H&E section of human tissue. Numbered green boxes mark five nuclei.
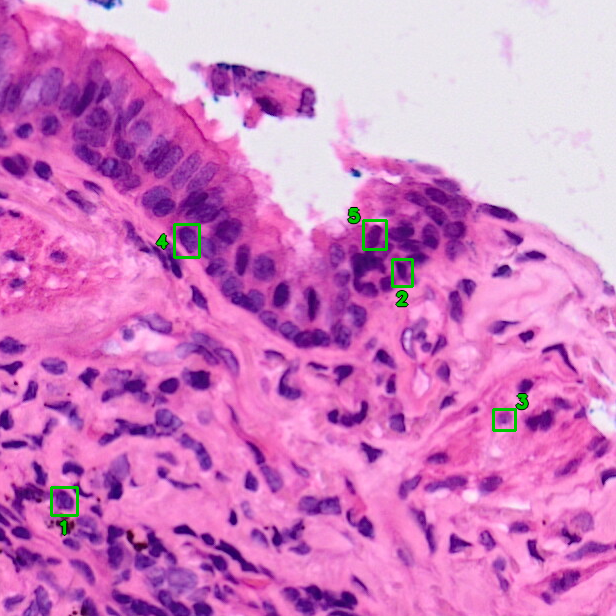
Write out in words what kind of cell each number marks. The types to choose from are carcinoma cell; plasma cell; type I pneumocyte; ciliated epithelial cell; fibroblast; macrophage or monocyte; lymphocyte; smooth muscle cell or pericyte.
Cell 1 is a lymphocyte, cell 2 is a ciliated epithelial cell, cell 3 is a smooth muscle cell or pericyte, cell 4 is a ciliated epithelial cell and cell 5 is a ciliated epithelial cell.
